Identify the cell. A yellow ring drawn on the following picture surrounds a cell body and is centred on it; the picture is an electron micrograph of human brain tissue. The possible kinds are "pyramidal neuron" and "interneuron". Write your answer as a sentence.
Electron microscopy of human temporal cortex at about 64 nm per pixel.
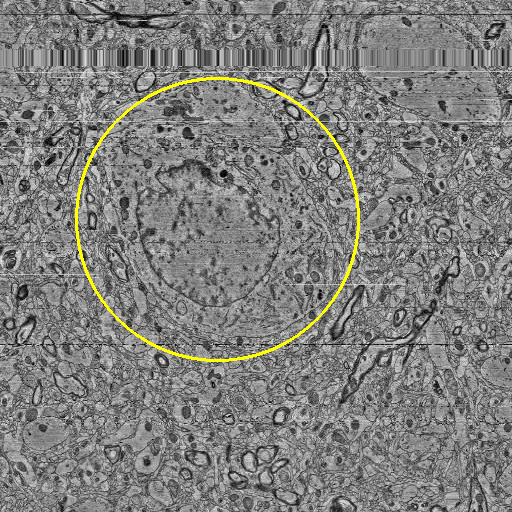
The cell identified by the ring is an interneuron.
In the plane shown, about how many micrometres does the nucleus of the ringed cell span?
About 10 micrometres by about 8 micrometres in this plane.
